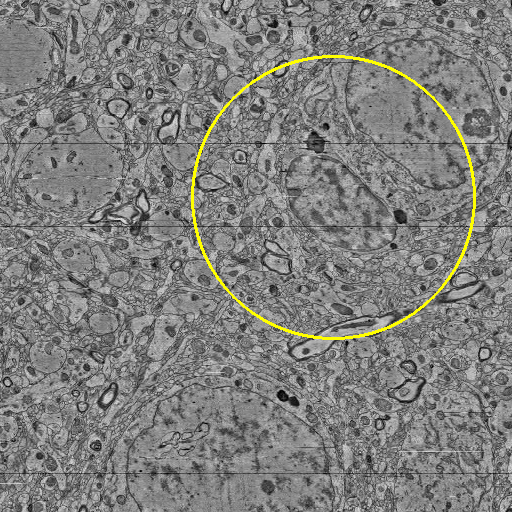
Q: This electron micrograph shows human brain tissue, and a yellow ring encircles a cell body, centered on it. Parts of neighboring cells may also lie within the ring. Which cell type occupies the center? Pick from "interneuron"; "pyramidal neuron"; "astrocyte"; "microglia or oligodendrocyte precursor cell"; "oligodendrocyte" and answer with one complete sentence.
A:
What sits at the ring's center in this micrograph is an oligodendrocyte, among those choices.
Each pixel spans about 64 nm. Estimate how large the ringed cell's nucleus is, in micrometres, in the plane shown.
About 8 by 5 micrometres; in this plane the nucleus is clearly longer than it is wide.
